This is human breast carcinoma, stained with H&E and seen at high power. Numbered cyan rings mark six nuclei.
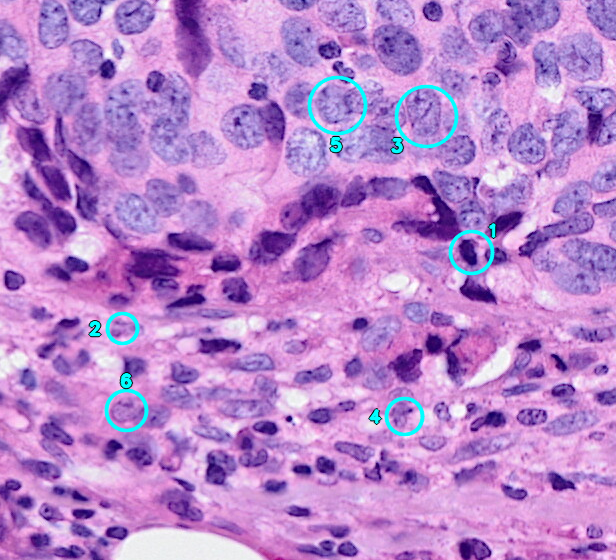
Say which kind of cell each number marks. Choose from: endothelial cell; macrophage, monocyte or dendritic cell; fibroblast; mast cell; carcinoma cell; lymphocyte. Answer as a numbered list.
1. carcinoma cell
2. macrophage, monocyte or dendritic cell
3. carcinoma cell
4. macrophage, monocyte or dendritic cell
5. carcinoma cell
6. endothelial cell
